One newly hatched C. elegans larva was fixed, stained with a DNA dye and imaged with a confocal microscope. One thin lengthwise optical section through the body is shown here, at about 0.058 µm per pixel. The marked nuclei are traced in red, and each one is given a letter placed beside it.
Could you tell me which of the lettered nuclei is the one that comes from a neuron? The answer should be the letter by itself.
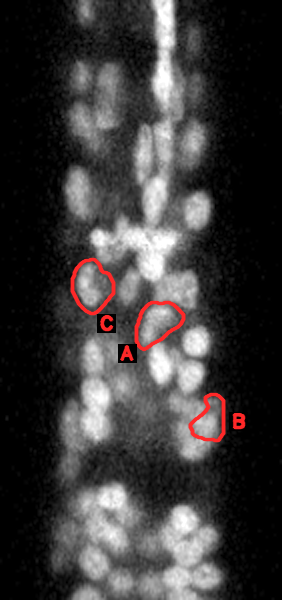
A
